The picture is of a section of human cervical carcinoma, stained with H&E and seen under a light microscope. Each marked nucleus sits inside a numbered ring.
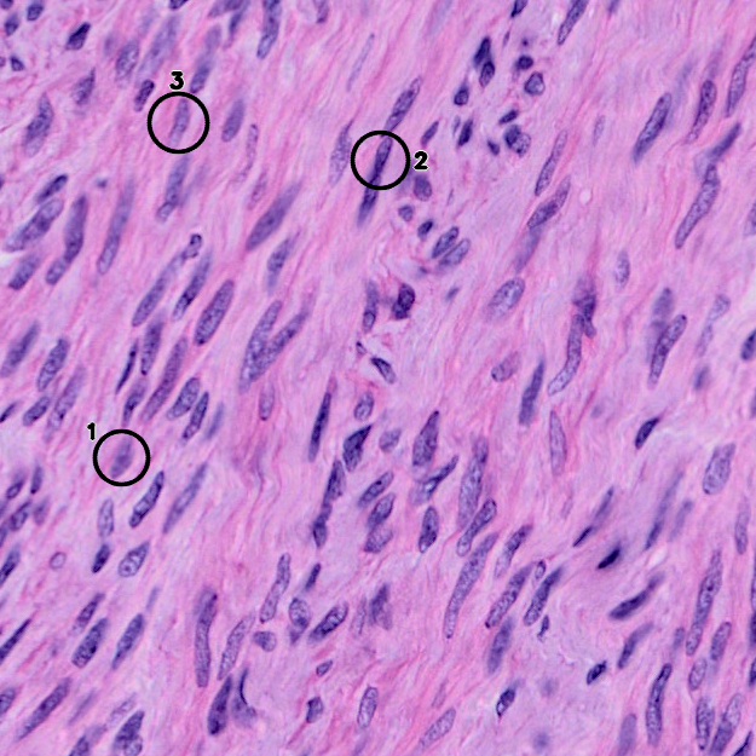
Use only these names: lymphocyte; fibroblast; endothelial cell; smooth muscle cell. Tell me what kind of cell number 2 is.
fibroblast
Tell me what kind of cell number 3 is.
smooth muscle cell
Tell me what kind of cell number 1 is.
smooth muscle cell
